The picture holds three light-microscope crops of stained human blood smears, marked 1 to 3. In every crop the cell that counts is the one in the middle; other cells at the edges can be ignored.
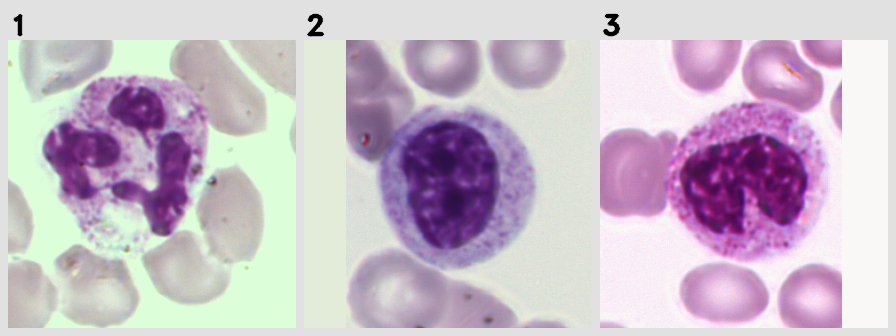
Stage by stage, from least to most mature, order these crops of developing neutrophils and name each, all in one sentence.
Ranking by maturity from lowest to highest gives crop 2 (a metamyelocyte), crop 3 (a band neutrophil) and crop 1 (a segmented neutrophil).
